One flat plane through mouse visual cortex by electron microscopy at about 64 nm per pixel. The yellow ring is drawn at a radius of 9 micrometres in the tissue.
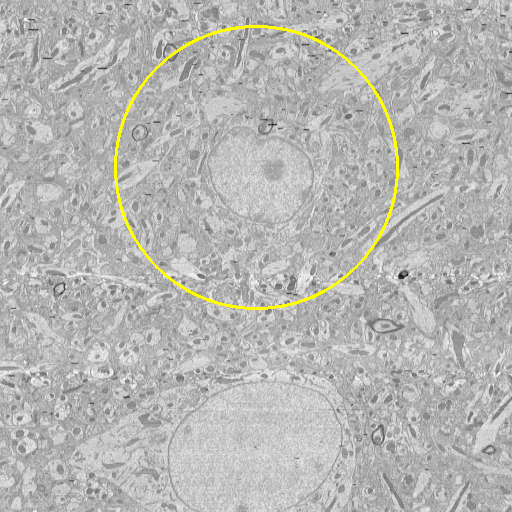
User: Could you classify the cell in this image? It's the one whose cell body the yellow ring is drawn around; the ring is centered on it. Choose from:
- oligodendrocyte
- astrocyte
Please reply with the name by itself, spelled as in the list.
astrocyte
